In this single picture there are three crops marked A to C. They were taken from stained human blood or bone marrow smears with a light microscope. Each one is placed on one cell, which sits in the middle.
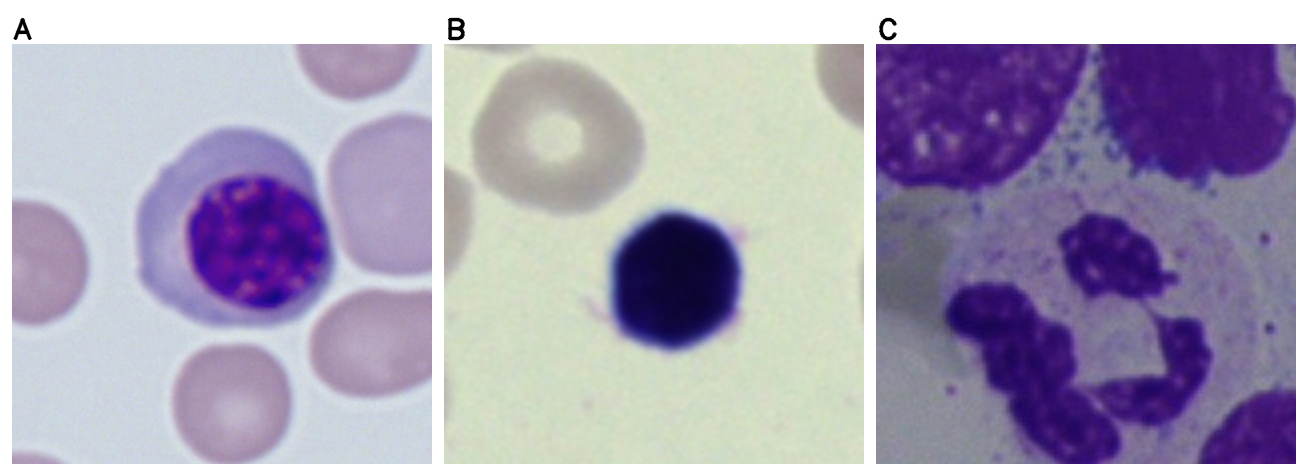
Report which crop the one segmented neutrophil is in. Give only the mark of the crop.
C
